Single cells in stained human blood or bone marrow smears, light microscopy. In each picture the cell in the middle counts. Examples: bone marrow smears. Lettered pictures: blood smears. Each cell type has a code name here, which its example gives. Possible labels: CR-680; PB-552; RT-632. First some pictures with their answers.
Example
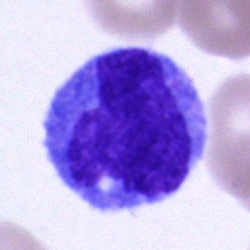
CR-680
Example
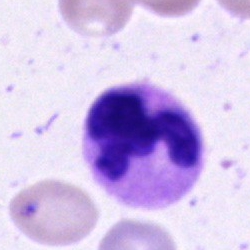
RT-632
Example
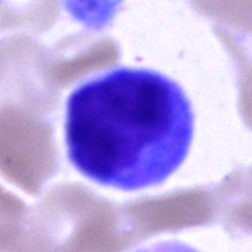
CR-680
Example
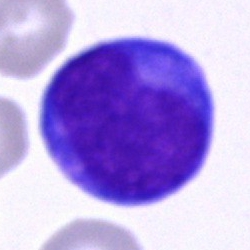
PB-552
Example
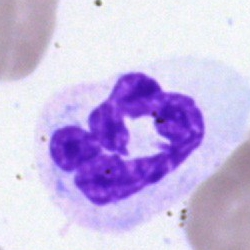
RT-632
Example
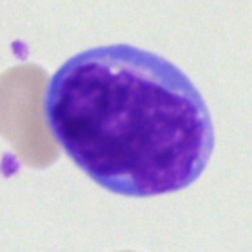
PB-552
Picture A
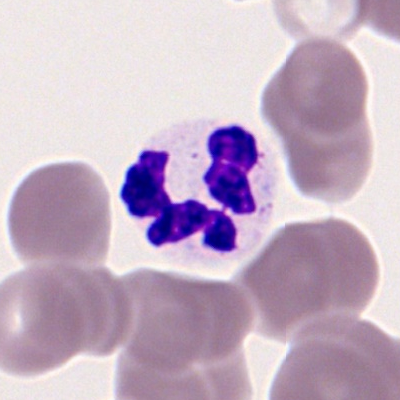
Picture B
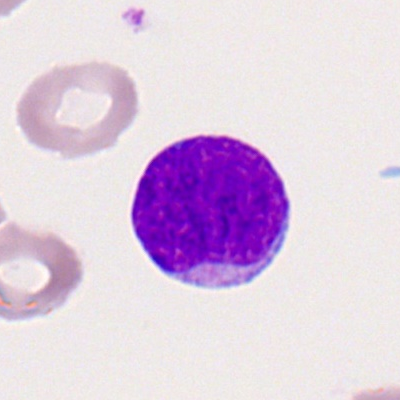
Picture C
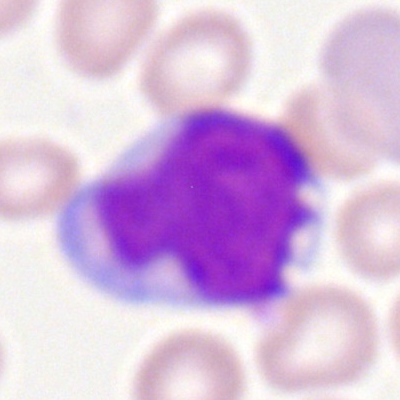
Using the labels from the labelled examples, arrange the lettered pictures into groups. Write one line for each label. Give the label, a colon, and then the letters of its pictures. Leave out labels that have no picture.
PB-552: B, C
RT-632: A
